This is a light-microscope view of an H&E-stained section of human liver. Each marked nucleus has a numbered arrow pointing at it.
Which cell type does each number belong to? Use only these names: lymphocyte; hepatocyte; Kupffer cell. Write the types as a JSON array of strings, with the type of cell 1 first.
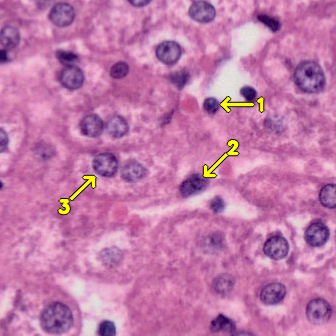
["lymphocyte", "Kupffer cell", "hepatocyte"]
